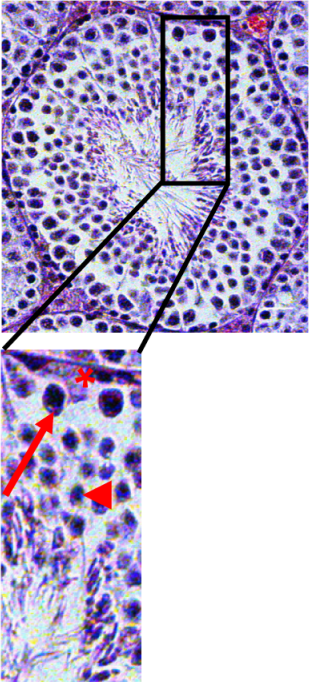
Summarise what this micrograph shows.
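This is a cross-section of a seminiferous tubule showing germ cells layered from the basal wall toward a central lumen. At the outer edge, flattened cells of the tubule wall lie beneath a row of spermatogonia. Inside them are large spermatocytes with big, round nuclei and coarse, dark purple chromatin. Nearer the lumen lie numerous round spermatids with smaller, evenly round nuclei. Bundles of elongated, dark spermatid heads with pale tails point into the lumen, giving it a streaming, fibrillar look.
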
